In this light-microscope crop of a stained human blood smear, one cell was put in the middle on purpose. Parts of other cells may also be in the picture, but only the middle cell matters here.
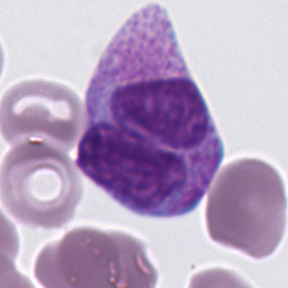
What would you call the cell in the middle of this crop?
atypical promyelocyte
